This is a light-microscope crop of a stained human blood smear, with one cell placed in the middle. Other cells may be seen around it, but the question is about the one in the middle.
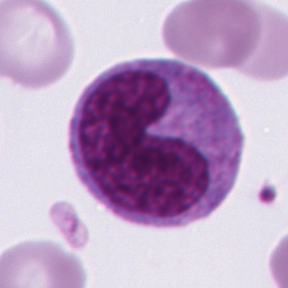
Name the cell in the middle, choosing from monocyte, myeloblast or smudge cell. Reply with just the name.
monocyte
